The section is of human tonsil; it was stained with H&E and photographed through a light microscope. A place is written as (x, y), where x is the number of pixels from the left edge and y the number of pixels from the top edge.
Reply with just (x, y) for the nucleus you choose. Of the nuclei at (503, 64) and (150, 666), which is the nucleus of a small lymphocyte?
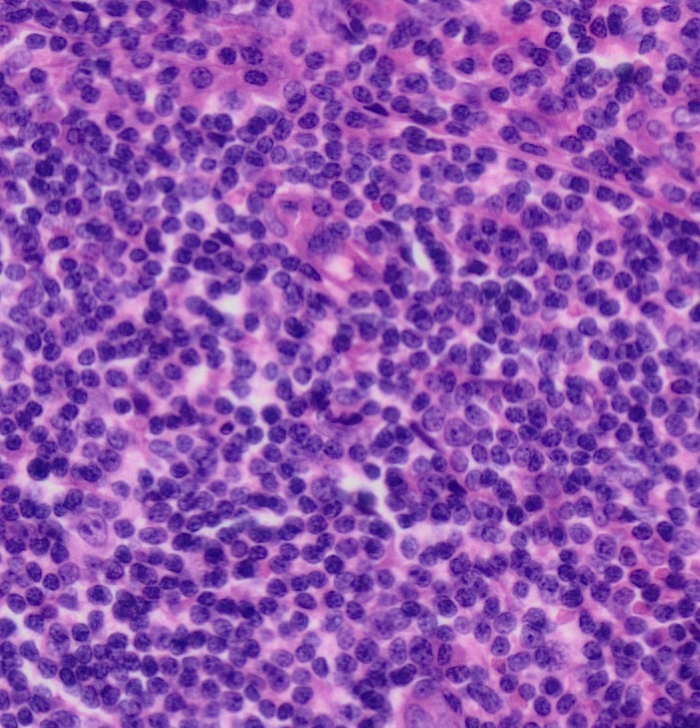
(150, 666)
